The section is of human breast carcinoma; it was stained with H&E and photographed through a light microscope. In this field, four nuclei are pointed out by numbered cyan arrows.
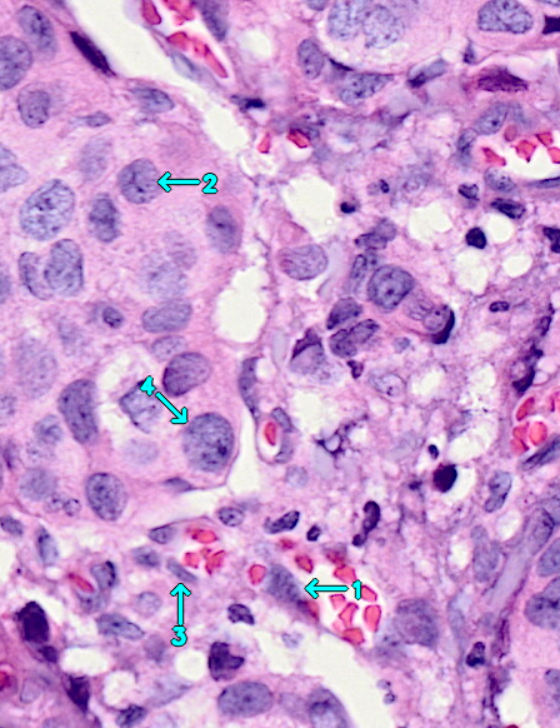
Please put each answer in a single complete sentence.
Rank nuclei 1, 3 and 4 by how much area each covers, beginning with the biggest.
By area, largest first, they run 4, 1, 3.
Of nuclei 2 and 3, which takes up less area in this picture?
With nucleus 2 about 3 times its size, nucleus 3 is the smaller of the two.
